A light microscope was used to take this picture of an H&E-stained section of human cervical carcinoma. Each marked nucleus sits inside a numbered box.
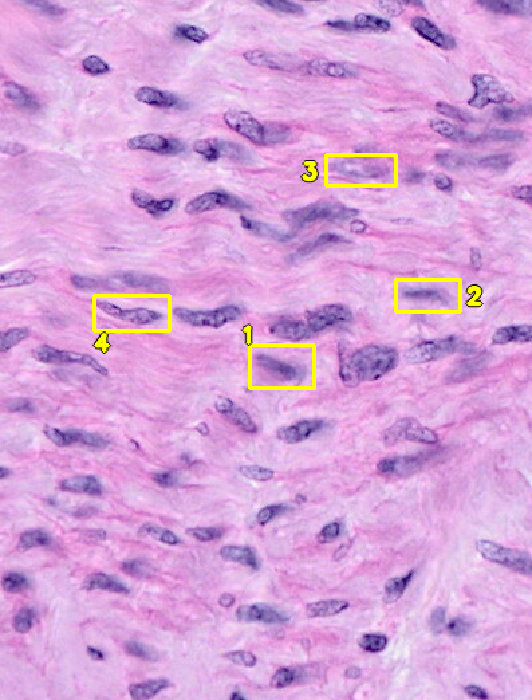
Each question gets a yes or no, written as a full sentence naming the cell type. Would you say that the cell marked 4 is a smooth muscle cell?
Yes. The cell carrying number 4 is a smooth muscle cell.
